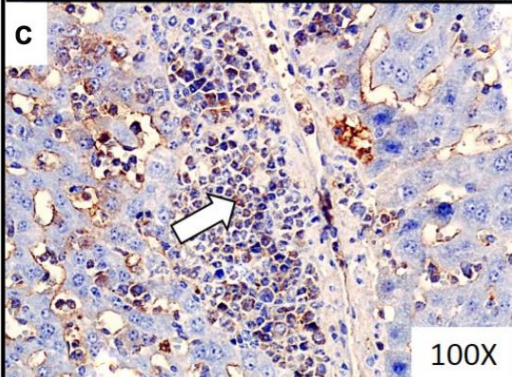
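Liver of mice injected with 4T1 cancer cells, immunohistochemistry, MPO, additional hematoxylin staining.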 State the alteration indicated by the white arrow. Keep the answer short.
Extramedullary hematopoiesis foci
